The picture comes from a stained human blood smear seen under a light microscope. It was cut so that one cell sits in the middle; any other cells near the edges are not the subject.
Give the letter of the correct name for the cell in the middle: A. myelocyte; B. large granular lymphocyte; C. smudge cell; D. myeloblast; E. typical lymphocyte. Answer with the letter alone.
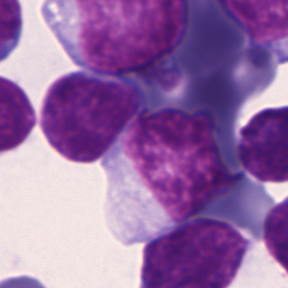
D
